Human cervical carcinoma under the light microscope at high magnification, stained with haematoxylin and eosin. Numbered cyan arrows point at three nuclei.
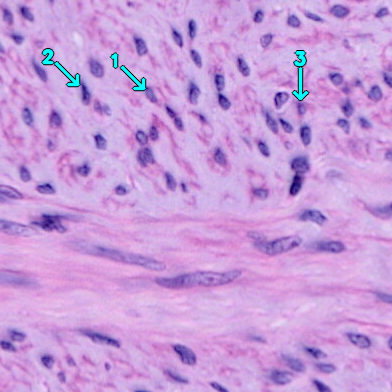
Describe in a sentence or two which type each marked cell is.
Cells 1 and 3 are smooth muscle cells. Cell 2 is a fibroblast.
